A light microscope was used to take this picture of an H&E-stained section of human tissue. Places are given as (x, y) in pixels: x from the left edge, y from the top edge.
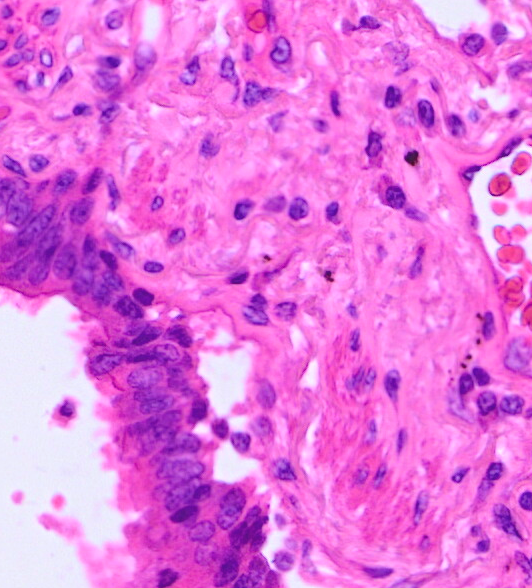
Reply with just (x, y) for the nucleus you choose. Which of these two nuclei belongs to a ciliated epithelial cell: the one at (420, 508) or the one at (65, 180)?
(65, 180)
